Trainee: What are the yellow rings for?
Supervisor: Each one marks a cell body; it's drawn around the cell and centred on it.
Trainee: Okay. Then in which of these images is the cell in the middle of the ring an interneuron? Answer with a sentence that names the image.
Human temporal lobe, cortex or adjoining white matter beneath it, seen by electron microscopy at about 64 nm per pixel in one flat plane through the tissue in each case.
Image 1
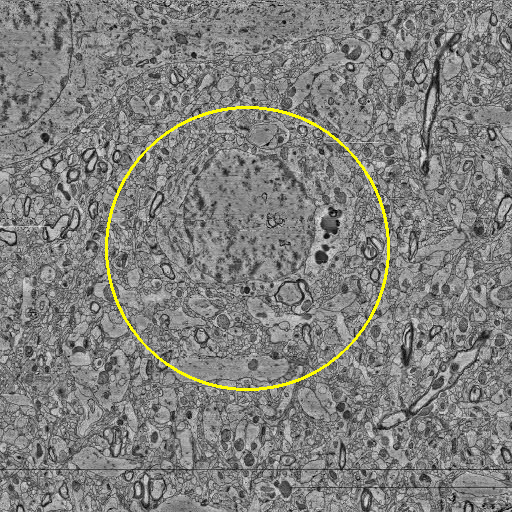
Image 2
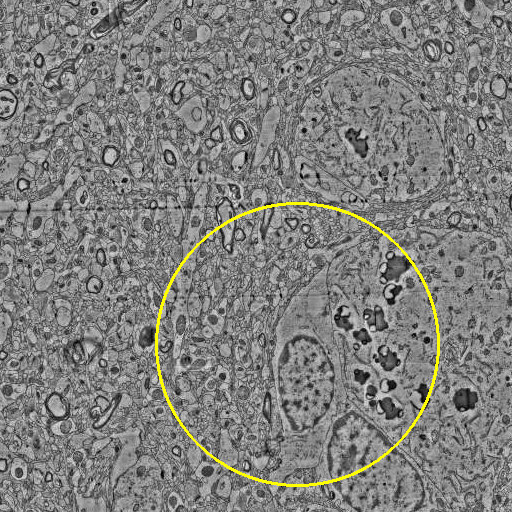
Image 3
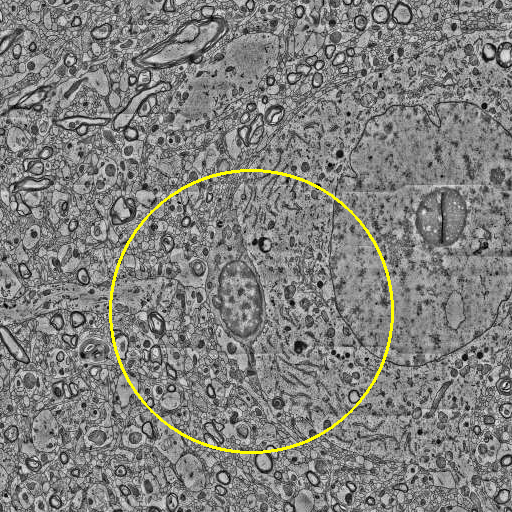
Image 1 has it in the middle of the ring.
